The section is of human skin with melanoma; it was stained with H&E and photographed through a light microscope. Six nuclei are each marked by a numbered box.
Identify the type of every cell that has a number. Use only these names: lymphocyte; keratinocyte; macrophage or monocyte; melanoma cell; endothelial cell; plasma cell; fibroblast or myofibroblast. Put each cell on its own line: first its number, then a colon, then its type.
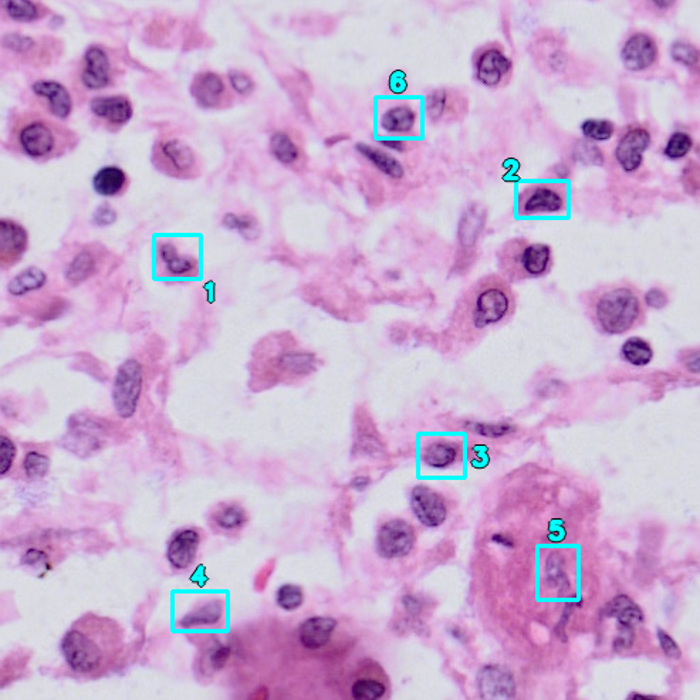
1: macrophage or monocyte
2: macrophage or monocyte
3: macrophage or monocyte
4: macrophage or monocyte
5: endothelial cell
6: lymphocyte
